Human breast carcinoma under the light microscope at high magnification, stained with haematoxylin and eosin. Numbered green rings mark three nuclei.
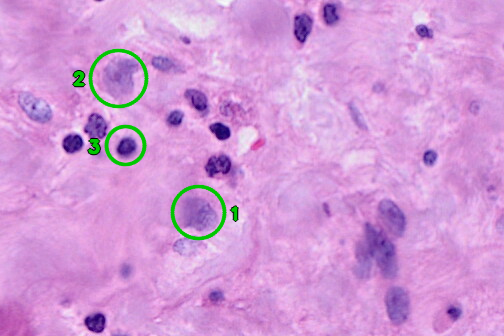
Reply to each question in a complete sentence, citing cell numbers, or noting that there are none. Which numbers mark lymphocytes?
Among all the marked cells, a lymphocyte is found only at number 3.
